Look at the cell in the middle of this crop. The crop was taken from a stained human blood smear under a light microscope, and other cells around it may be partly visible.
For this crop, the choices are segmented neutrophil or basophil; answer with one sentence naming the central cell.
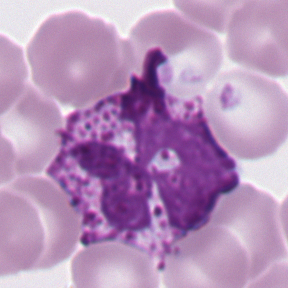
Positioned in the middle of the crop is a basophil.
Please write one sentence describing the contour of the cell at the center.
As for its outline, the cell is irregular, ragged or drawn into projections.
